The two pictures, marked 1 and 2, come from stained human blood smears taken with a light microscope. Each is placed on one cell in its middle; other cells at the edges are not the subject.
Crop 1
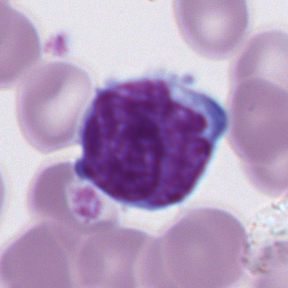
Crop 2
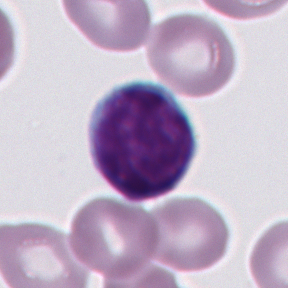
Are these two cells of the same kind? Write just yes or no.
yes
